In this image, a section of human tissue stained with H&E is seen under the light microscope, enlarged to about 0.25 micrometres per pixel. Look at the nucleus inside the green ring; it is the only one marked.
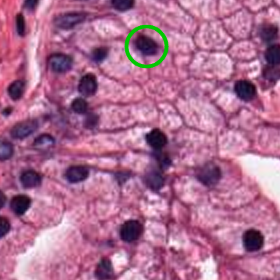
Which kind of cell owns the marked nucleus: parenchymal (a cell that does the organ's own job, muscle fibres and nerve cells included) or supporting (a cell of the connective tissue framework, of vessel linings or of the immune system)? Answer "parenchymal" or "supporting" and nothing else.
parenchymal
